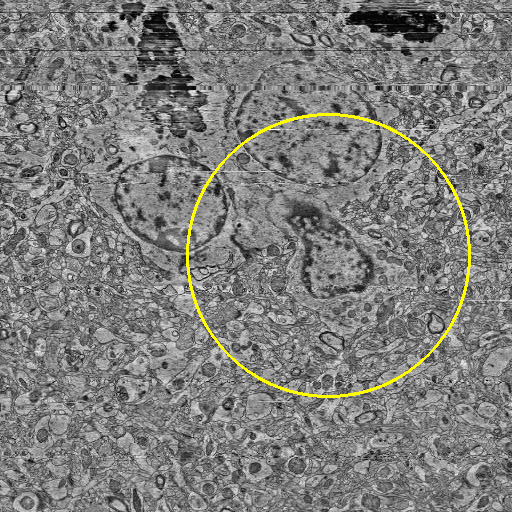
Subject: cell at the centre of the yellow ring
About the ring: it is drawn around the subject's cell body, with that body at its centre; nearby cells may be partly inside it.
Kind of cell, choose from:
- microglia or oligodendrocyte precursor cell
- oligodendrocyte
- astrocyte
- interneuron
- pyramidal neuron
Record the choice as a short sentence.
The subject cell is a microglial cell or oligodendrocyte precursor cell.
